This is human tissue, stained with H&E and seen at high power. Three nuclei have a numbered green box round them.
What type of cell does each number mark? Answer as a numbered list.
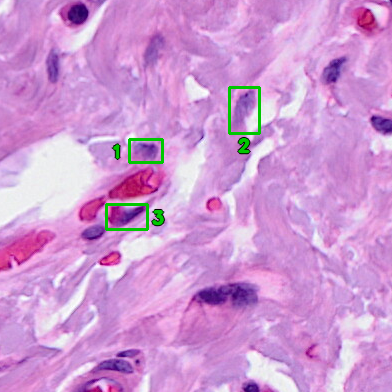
1. fibroblast
2. fibroblast
3. endothelial cell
